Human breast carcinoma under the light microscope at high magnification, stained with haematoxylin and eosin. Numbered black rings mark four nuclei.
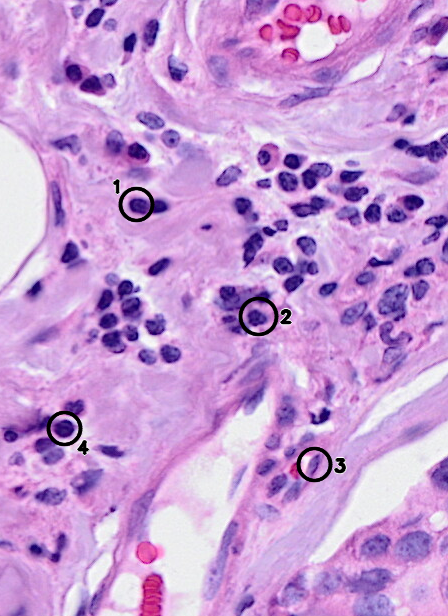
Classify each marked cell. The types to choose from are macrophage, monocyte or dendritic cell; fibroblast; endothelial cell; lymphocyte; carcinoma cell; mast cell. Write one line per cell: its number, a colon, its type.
1: lymphocyte
2: lymphocyte
3: endothelial cell
4: lymphocyte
